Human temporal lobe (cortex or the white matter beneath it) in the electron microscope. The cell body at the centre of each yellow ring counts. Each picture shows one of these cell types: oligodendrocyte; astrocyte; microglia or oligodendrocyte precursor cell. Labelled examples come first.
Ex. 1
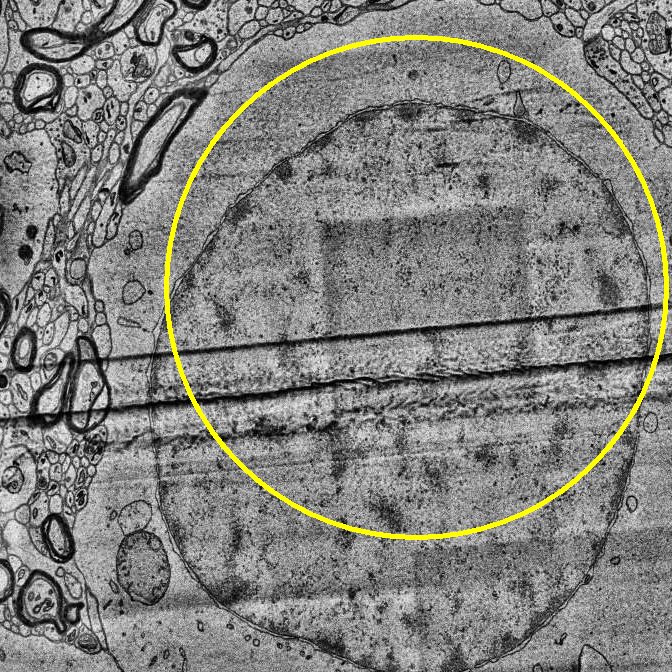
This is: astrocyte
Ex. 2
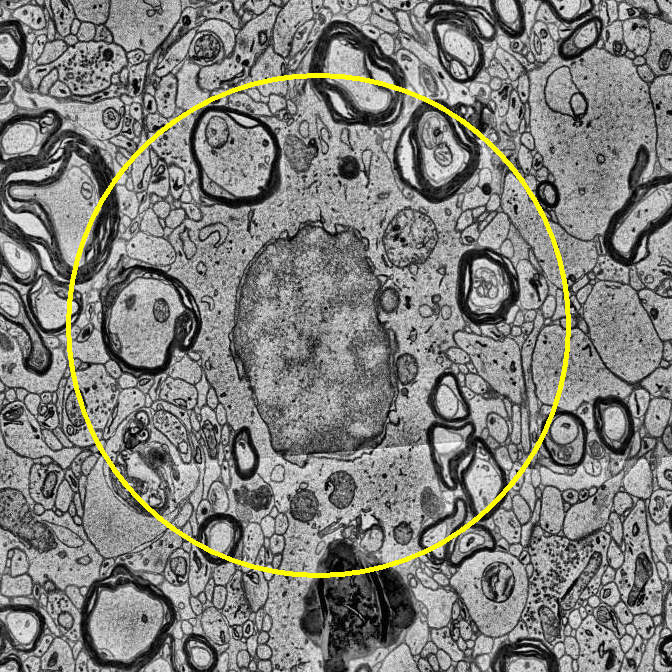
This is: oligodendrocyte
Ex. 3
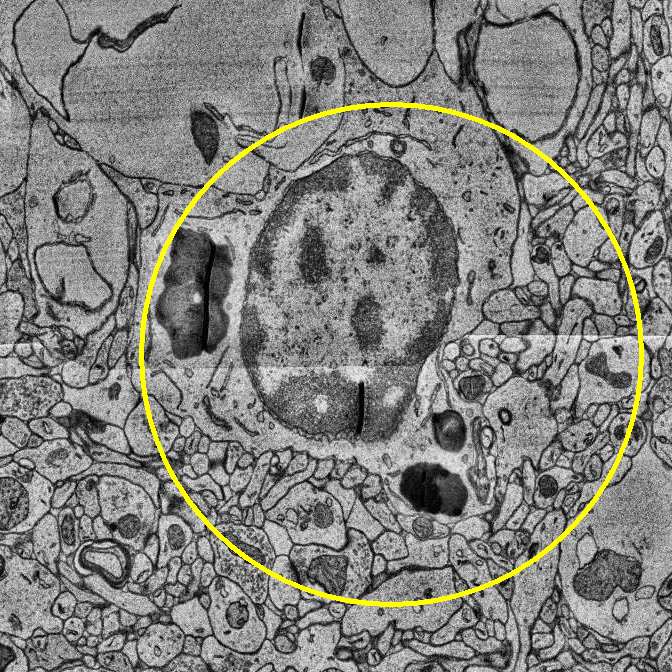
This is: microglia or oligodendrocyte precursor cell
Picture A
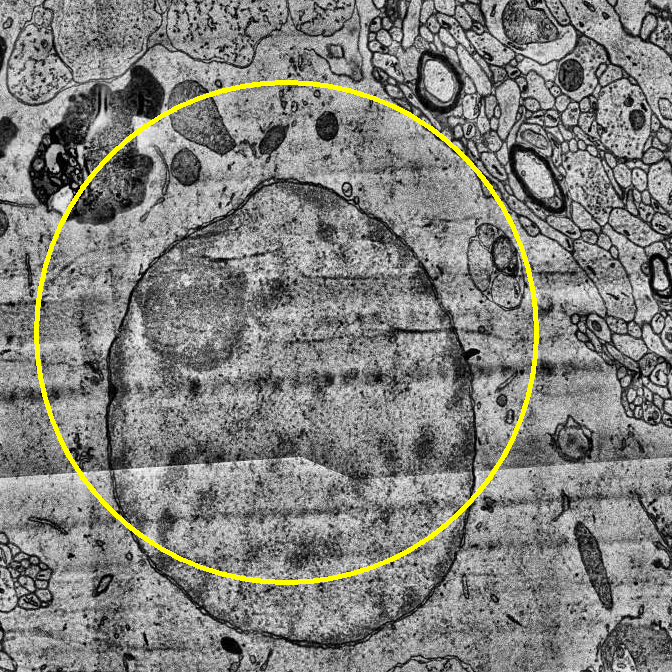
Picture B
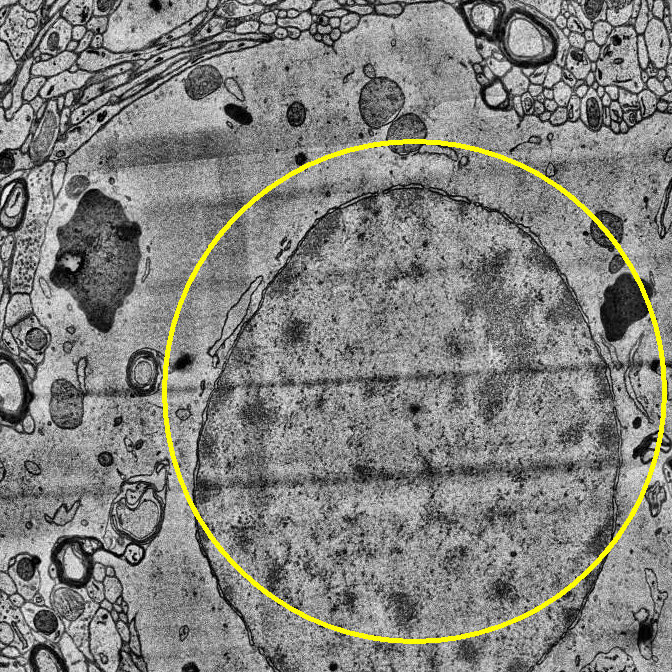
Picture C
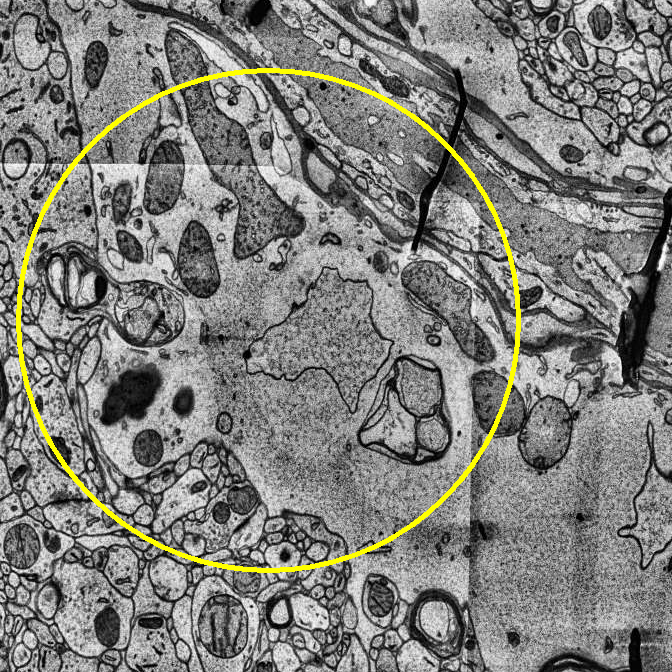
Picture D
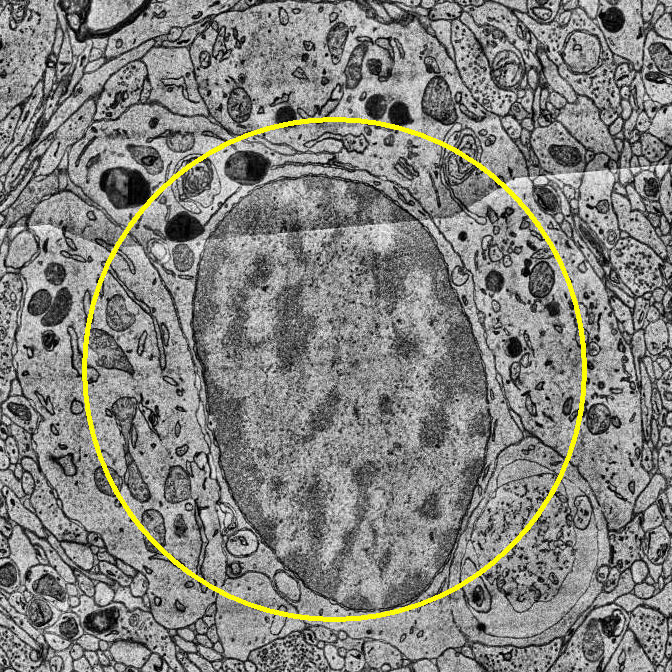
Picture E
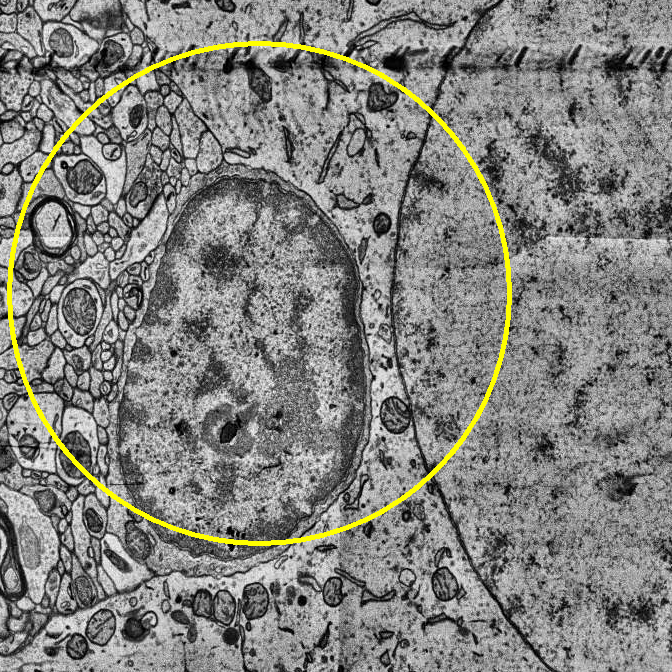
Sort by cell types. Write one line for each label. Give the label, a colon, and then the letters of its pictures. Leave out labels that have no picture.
oligodendrocyte: E
astrocyte: A, B
microglia or oligodendrocyte precursor cell: C, D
